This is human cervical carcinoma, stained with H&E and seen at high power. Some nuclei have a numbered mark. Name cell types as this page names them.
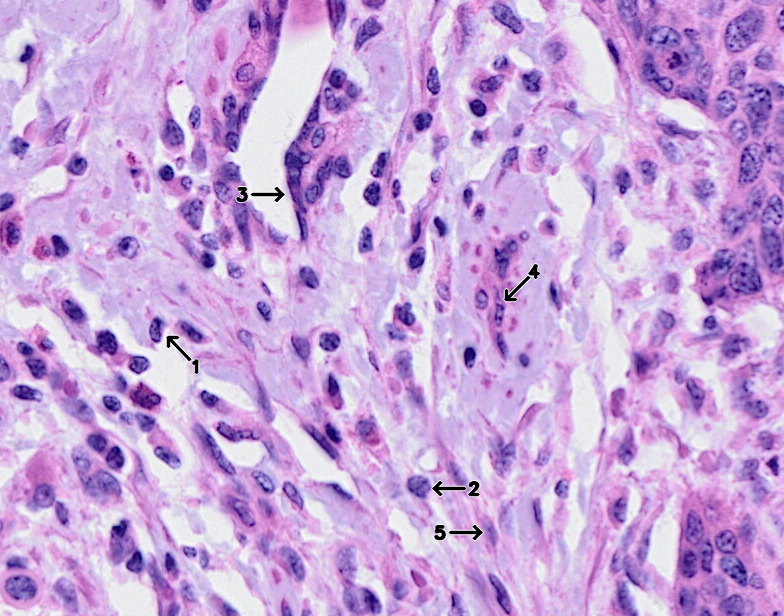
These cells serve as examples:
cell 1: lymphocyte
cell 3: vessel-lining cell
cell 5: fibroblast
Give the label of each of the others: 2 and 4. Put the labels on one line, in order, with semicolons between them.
lymphocyte; vessel-lining cell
